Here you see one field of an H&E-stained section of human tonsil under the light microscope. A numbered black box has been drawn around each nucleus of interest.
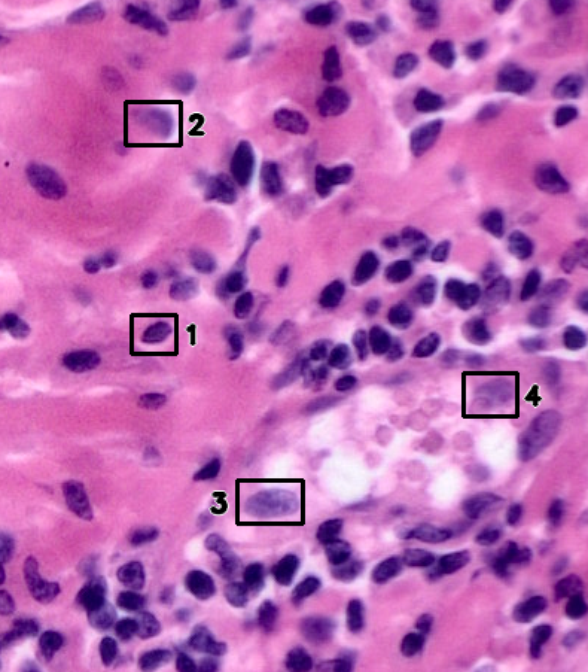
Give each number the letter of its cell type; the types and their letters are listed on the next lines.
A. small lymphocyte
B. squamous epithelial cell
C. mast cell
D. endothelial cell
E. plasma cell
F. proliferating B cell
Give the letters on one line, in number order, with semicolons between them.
C; D; D; D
